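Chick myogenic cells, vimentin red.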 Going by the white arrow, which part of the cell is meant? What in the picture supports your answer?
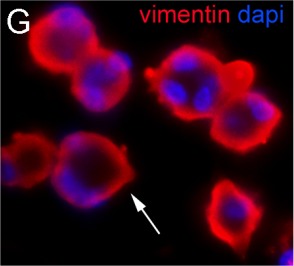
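The red signal rims rounded cells around blue nuclei.
Conclusion: cortex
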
